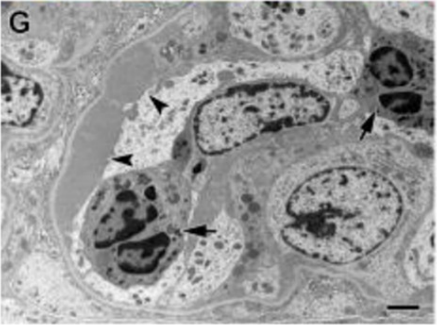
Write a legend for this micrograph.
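Glomerular capillary loop seen by electron microscopy, with neutrophils in the capillary lumen showing dense, multilobed nuclei and granular cytoplasm. A large band of homogeneous grey deposit lies along the capillary wall beneath the lining cells. Neighbouring cells with oval nuclei crowd the surrounding tuft.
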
